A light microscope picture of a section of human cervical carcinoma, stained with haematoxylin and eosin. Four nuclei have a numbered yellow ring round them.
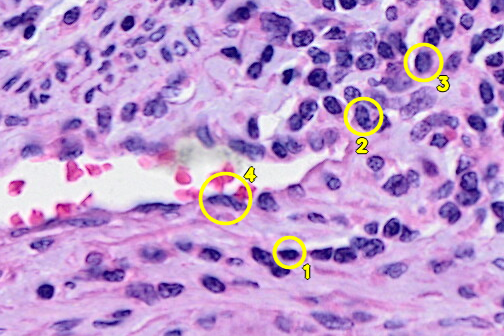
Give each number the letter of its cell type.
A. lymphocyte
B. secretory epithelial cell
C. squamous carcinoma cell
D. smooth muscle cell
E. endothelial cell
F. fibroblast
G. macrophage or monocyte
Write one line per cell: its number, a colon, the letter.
1: A
2: A
3: A
4: E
